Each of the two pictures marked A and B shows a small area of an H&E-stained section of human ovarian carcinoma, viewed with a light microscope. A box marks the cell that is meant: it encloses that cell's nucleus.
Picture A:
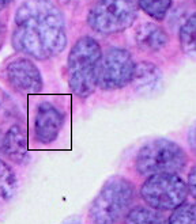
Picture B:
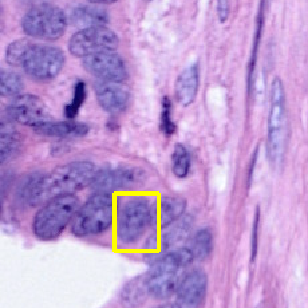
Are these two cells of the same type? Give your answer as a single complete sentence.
No; the cell in picture A is a “macrophage or monocyte”, while the one in picture B is a carcinoma cell.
